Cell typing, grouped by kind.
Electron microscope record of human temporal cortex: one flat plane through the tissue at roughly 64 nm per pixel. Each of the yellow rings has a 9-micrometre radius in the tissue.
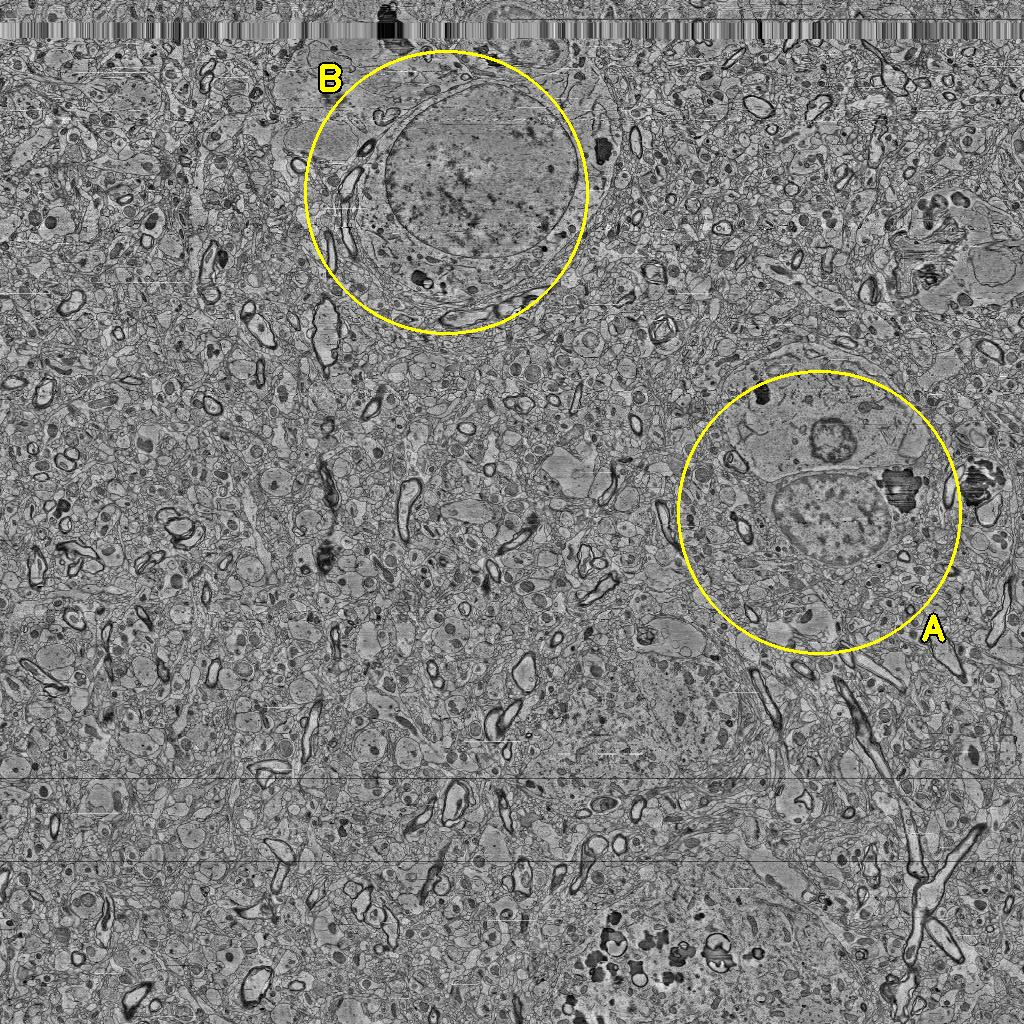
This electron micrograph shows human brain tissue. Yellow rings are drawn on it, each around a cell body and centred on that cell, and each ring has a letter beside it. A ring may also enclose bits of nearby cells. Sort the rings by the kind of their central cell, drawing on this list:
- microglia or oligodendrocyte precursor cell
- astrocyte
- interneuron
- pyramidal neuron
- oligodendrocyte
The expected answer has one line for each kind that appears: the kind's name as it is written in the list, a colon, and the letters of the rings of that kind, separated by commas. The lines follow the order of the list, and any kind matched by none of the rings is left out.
pyramidal neuron: B
oligodendrocyte: A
